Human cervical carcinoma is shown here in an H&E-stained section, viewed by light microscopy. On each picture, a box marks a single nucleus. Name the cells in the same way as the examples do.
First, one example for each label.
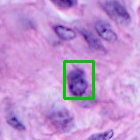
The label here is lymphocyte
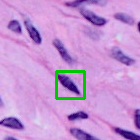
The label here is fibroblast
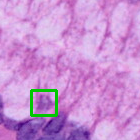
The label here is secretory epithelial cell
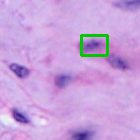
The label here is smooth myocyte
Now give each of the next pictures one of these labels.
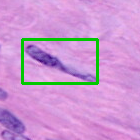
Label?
fibroblast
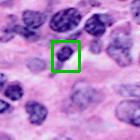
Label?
lymphocyte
